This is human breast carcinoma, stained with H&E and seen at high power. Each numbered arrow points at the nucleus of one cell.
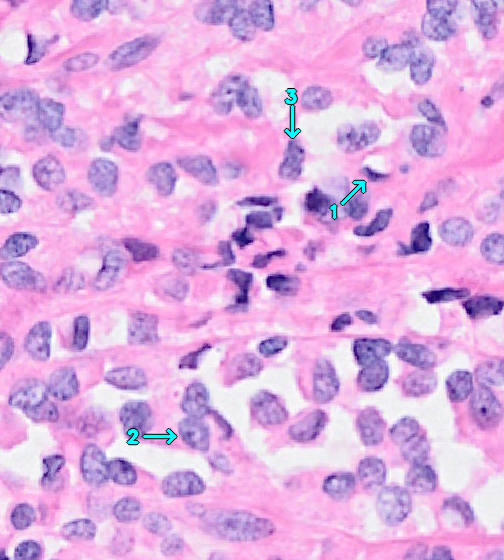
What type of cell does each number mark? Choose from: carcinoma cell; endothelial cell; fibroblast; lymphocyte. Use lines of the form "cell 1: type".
cell 1: endothelial cell
cell 2: carcinoma cell
cell 3: carcinoma cell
